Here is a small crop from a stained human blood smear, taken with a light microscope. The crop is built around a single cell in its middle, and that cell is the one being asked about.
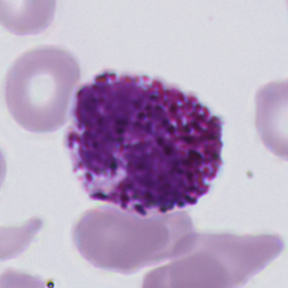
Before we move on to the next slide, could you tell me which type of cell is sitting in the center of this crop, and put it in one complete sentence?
The cell in the exact centre of the crop is a basophil.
